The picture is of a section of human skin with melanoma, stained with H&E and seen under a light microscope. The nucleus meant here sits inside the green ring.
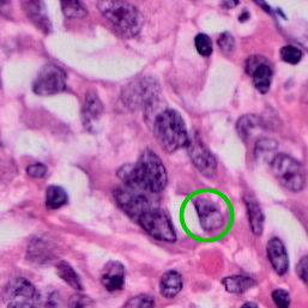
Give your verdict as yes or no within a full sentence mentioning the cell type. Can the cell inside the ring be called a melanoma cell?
Yes, in short, the cell inside the ring is a melanoma cell here.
